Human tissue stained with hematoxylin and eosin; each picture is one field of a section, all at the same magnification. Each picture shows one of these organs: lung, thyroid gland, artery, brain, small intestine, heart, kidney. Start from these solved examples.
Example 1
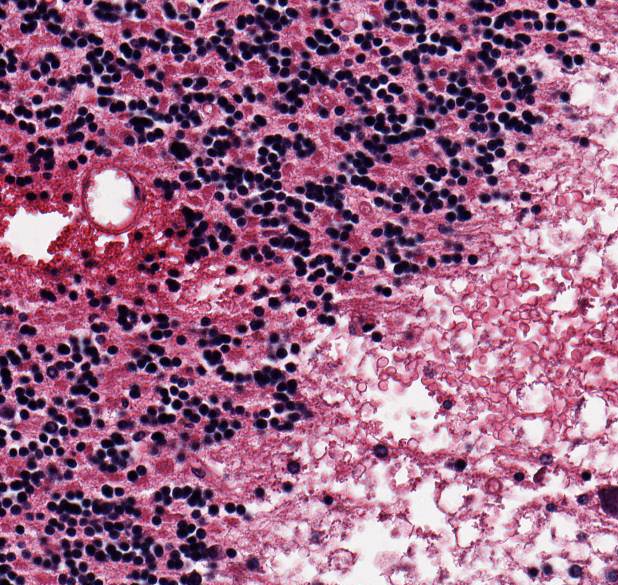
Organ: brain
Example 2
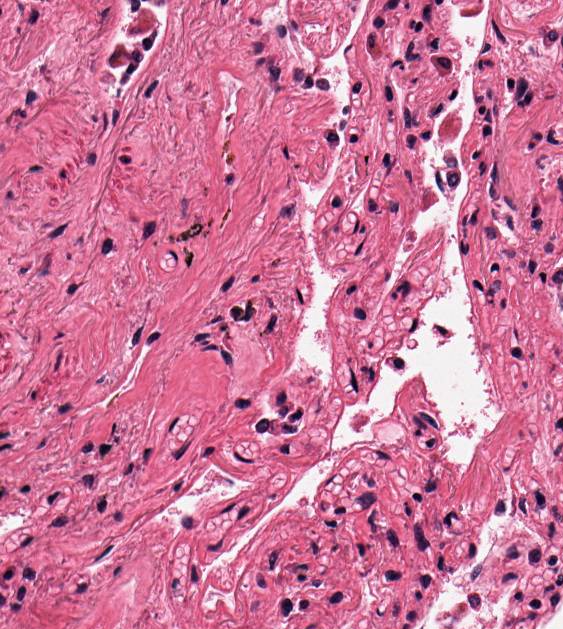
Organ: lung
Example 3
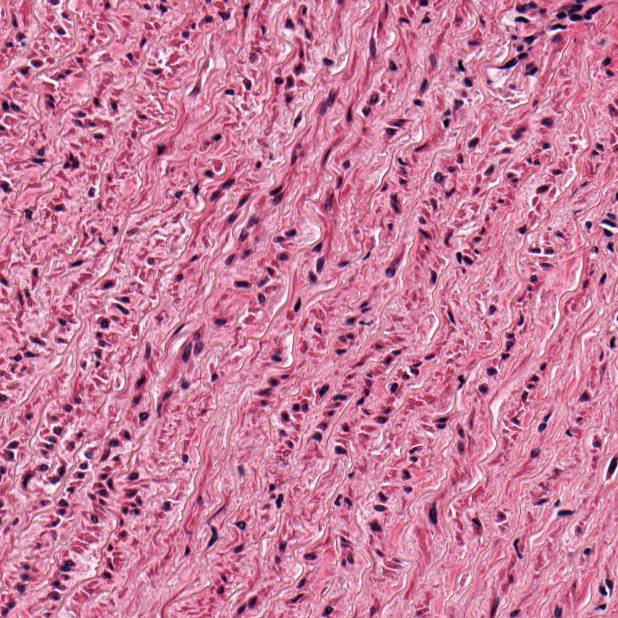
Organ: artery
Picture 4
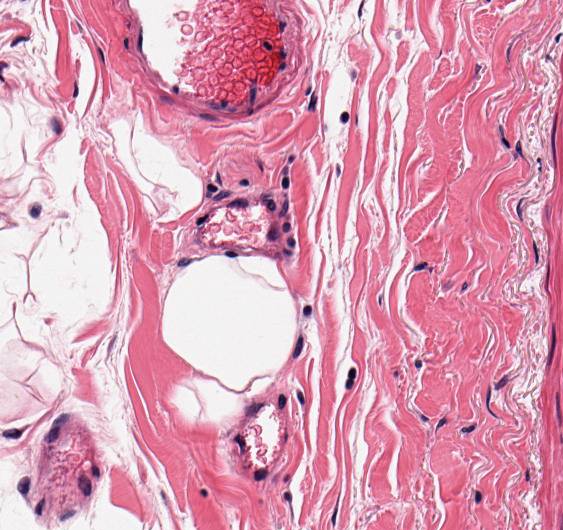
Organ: artery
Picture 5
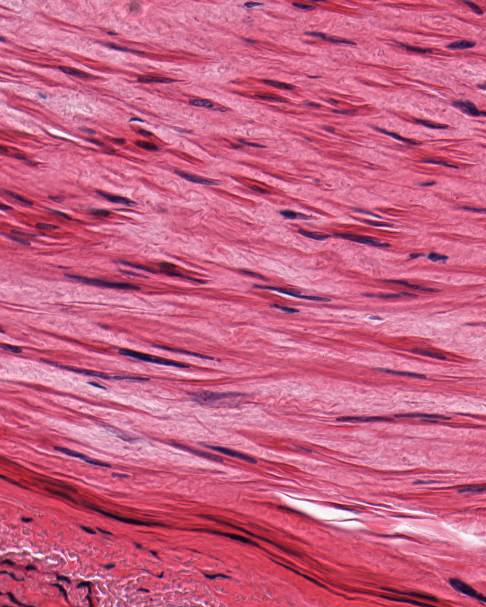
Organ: artery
